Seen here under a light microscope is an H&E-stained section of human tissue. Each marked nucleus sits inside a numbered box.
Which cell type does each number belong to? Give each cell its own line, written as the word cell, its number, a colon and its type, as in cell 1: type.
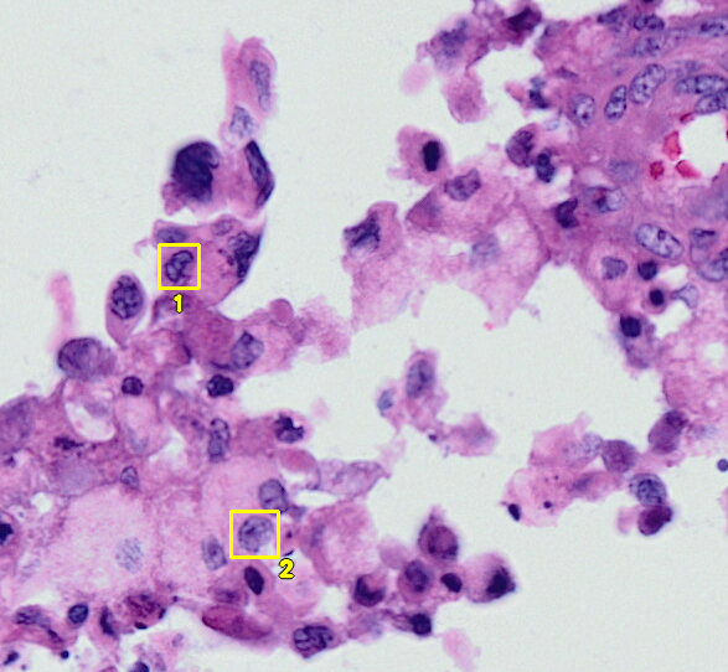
cell 1: squamous carcinoma cell
cell 2: macrophage or monocyte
